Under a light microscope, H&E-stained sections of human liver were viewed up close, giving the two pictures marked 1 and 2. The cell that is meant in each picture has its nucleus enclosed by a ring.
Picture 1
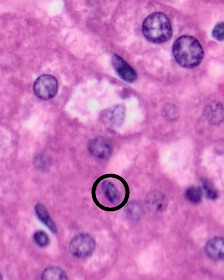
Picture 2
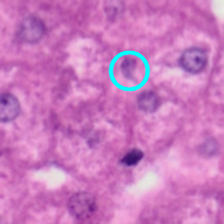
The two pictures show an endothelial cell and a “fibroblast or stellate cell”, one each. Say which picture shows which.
1: fibroblast or stellate cell
2: endothelial cell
